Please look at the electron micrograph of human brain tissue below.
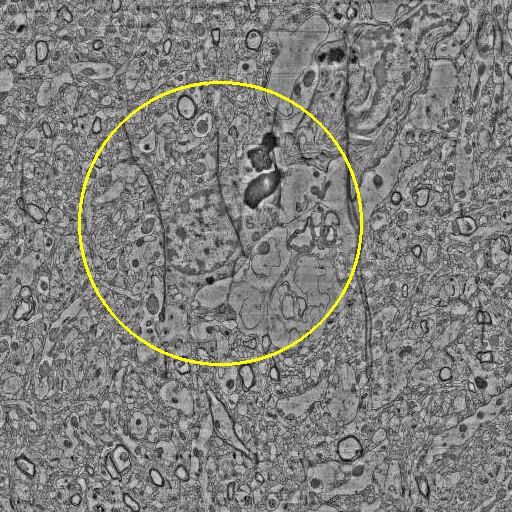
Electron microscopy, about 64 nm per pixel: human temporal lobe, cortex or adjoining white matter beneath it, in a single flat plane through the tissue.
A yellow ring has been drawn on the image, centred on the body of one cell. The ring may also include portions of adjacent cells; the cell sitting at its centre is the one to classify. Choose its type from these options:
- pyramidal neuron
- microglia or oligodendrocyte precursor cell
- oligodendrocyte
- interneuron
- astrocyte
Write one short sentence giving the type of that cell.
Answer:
The cell in the middle of the ring is an oligodendrocyte.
